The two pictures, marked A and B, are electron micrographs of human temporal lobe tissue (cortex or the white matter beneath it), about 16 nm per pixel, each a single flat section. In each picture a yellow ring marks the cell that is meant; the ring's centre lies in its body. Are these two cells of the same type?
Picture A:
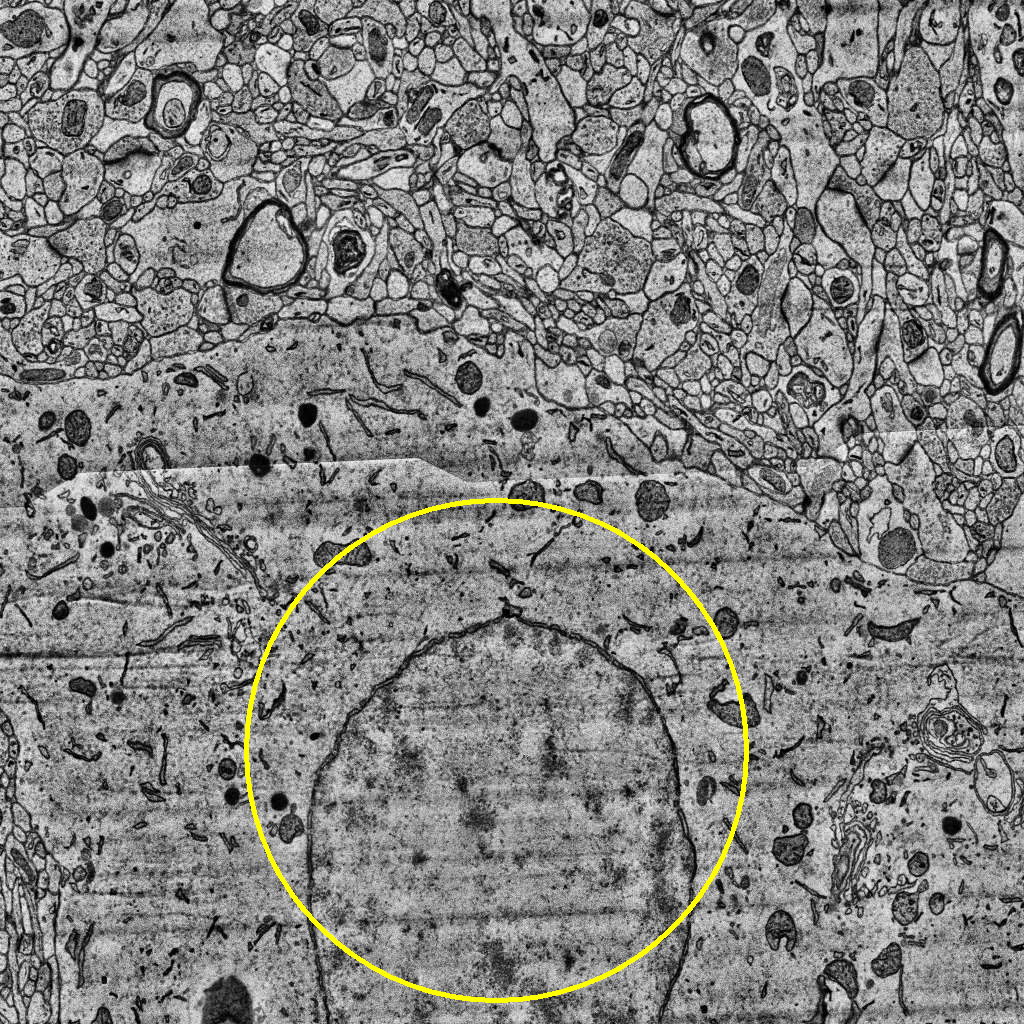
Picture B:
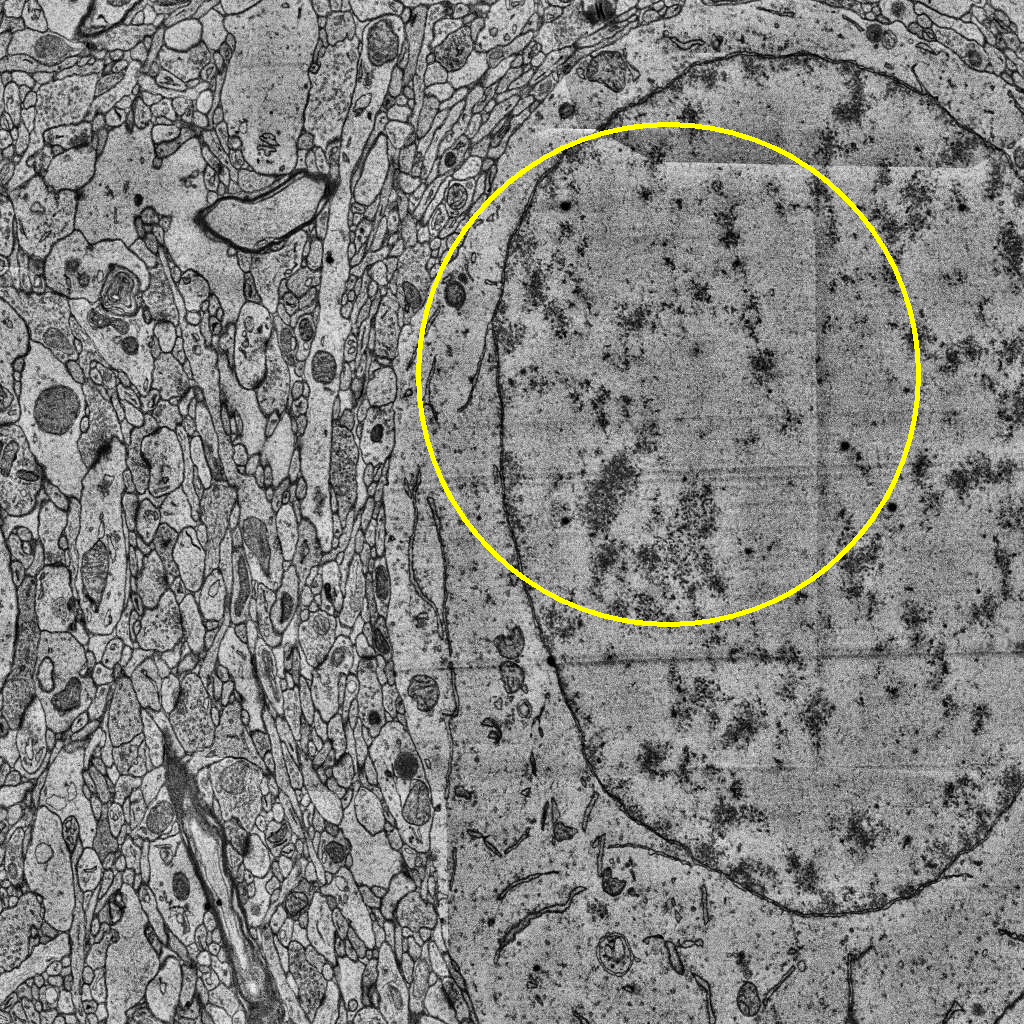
Yes, they are the same type: both are pyramidal neurons.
